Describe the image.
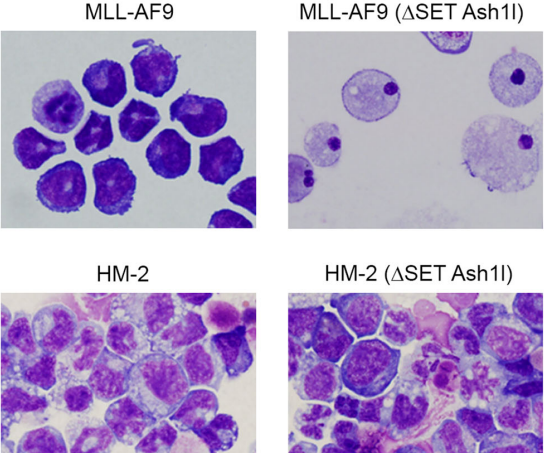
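In the upper left field the cells are round, fairly uniform and closely packed, each with a large purple nucleus that fills most of the cell and only a narrow rim of blue cytoplasm. In the upper right field the cells are fewer and larger, with wide, pale grey-blue cytoplasm and a small, dense, dark nucleus, and some show clear vacuoles. The two lower fields are crowded with many cells that have large purple nuclei and a thin to moderate rim of bluish cytoplasm. Among them lie some cells with irregular or lobed nuclei and some pink material between the cells.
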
